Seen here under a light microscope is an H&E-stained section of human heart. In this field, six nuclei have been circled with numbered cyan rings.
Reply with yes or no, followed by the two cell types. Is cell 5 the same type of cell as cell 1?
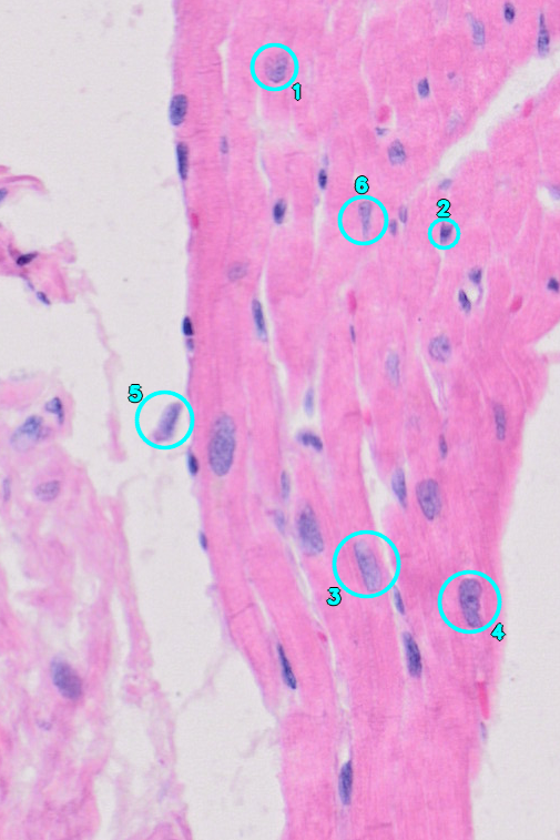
No, what is marked as cell 5 is a fibroblast, and what is marked as cell 1 is a cardiomyocyte.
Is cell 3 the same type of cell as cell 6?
Yes, that is right: cells 3 and 6 are both cardiomyocytes.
